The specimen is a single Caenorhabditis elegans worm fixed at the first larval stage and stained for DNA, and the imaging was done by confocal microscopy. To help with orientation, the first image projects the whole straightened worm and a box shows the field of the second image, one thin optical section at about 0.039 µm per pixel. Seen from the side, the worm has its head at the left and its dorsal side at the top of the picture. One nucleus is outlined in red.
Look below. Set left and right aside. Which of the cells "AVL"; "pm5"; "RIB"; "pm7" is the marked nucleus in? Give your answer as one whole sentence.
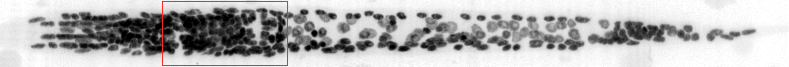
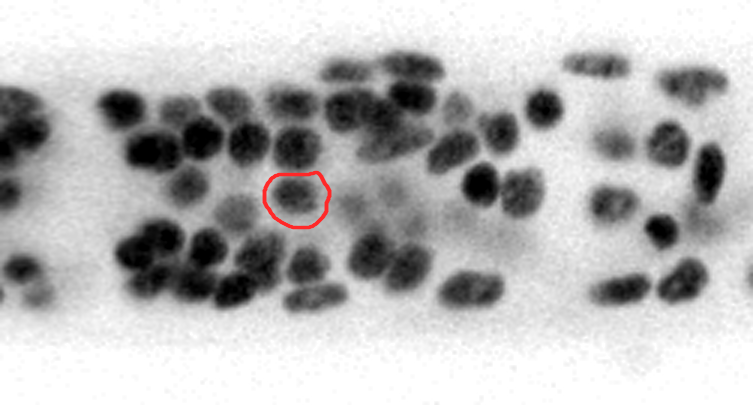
The marked nucleus belongs to RIB, a neuron.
